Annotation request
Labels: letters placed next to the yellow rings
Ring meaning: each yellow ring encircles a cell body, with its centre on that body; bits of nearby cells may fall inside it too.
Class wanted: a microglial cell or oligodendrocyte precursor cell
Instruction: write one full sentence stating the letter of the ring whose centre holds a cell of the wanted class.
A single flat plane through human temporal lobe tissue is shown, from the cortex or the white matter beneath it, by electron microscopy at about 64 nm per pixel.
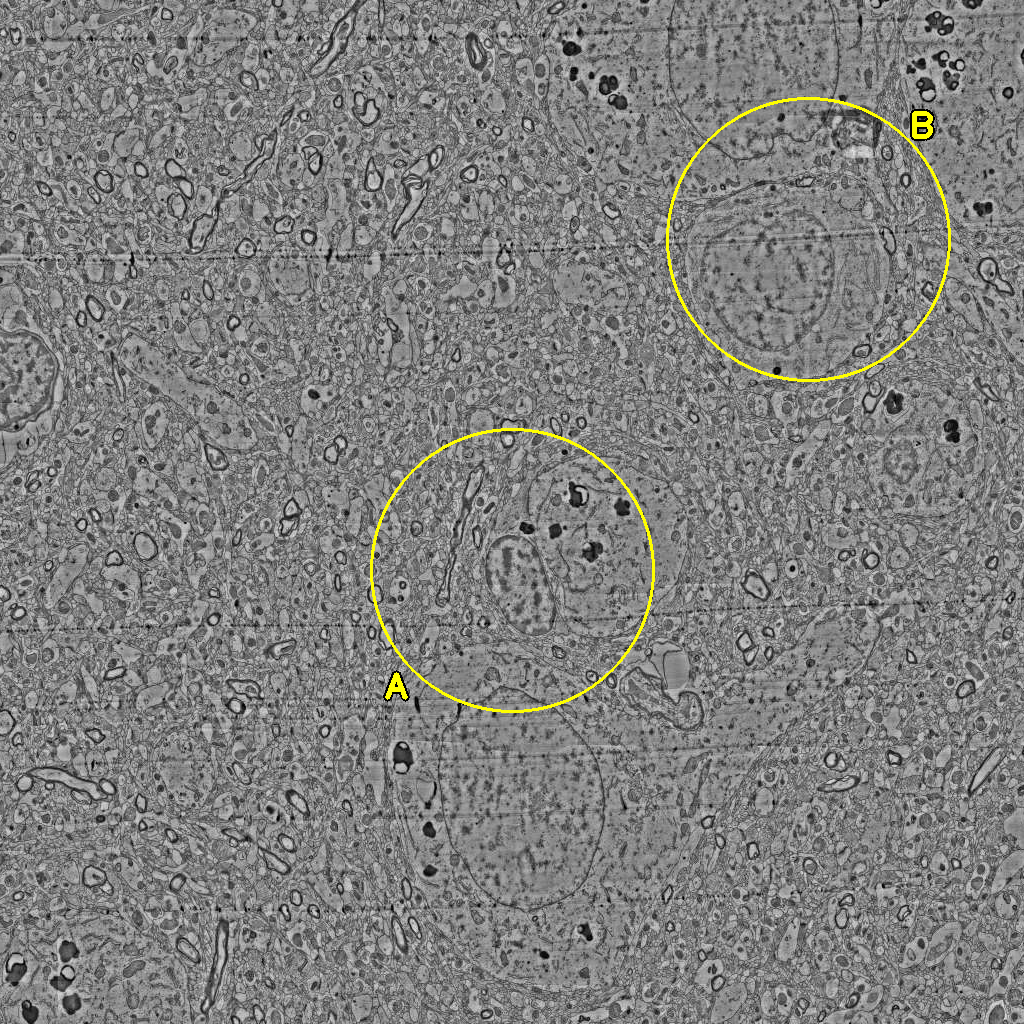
For this annotation, a cell of that kind sits at the centre of ring A.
